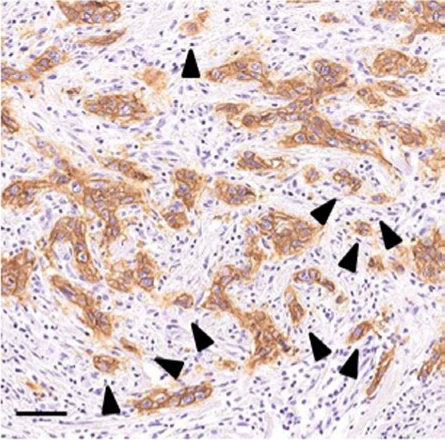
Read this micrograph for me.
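Irregular nests, cords and small clusters of tumor cells are spread through a fibrous stroma containing spindle-shaped cells with dark, elongated nuclei. The tumor cells have round to oval pale nuclei and abundant cytoplasm, and they show strong brown staining along their membranes and in their cytoplasm. Single tumor cells and very small groups lie apart from the larger nests within the stroma.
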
